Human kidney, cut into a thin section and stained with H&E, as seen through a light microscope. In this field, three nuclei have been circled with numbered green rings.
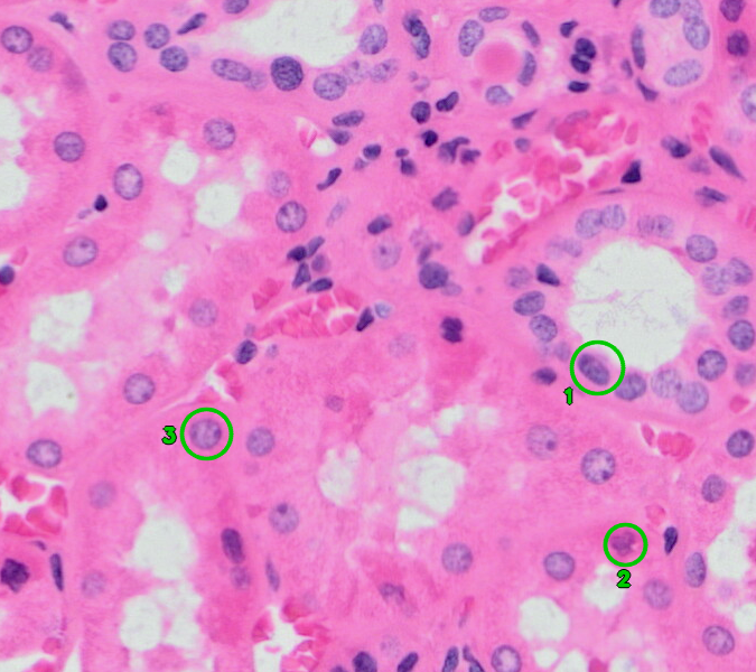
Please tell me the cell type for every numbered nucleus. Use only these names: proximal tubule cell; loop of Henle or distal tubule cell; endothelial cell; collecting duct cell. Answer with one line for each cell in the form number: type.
1: collecting duct cell
2: proximal tubule cell
3: proximal tubule cell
